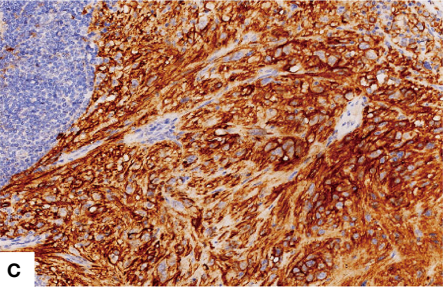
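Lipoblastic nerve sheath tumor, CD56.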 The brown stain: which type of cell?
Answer: Spindle cells.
